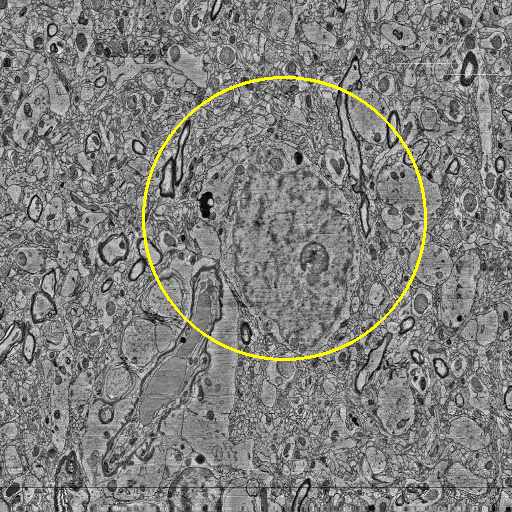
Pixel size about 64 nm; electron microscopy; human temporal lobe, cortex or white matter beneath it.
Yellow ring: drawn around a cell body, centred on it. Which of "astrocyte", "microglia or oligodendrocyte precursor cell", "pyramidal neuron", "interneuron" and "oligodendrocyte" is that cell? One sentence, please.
That cell body is from an interneuron.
